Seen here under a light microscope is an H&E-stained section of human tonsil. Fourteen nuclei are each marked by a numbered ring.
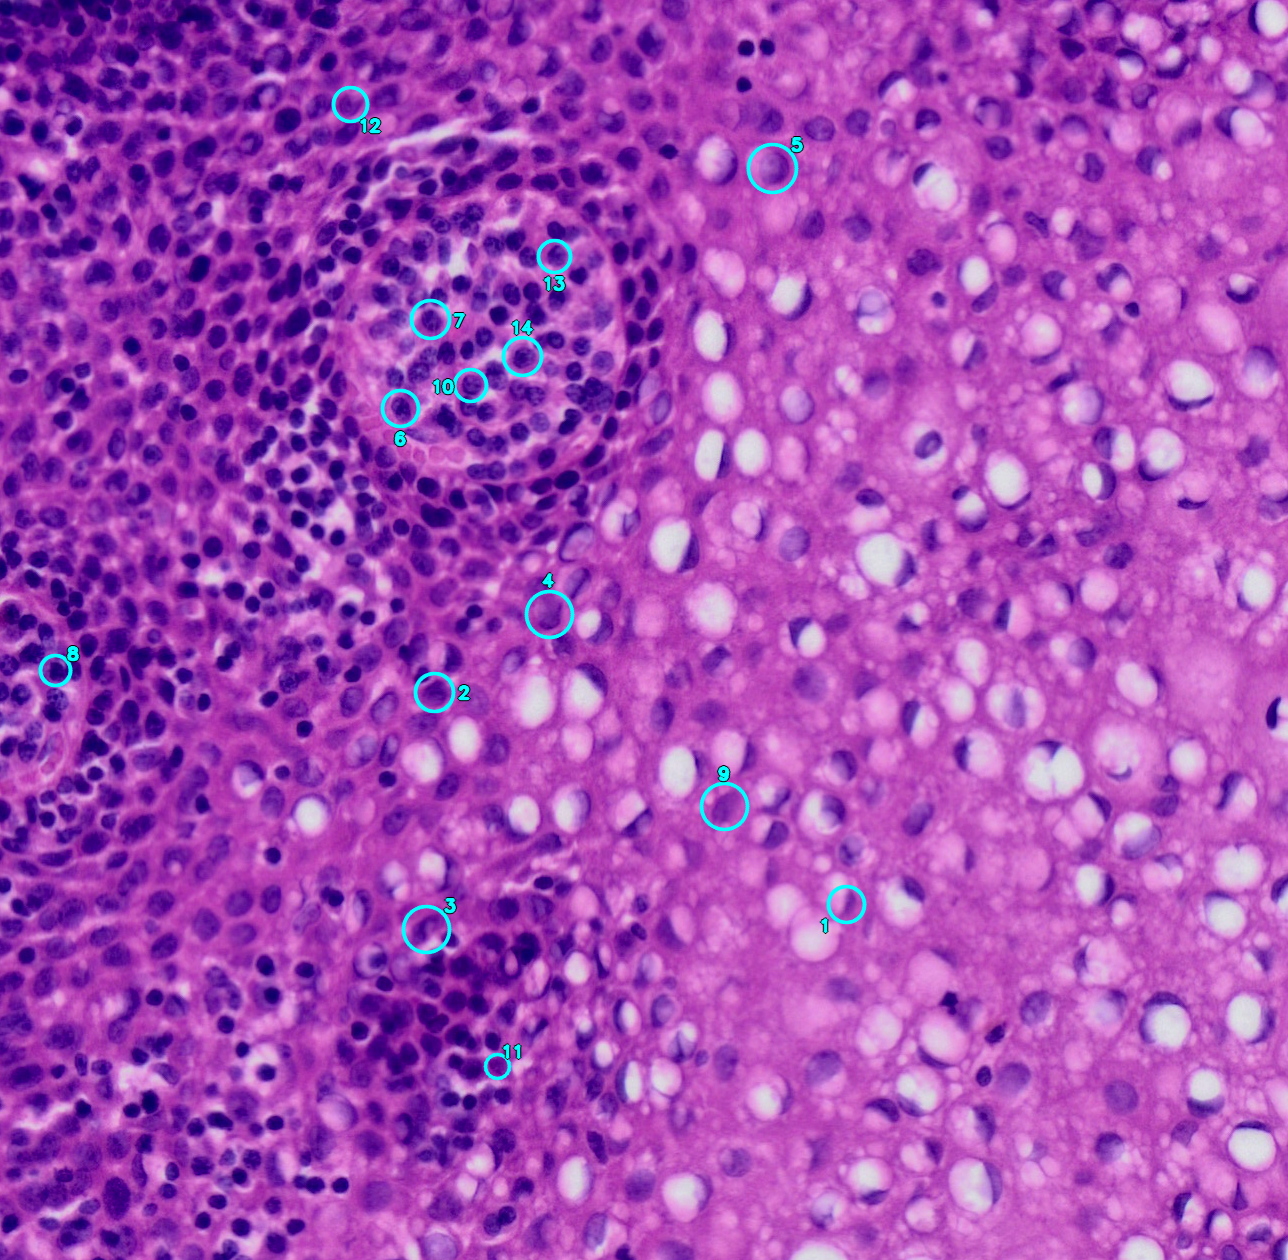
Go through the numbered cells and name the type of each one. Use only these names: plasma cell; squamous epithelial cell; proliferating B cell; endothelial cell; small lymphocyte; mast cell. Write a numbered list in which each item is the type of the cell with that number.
1. squamous epithelial cell
2. squamous epithelial cell
3. squamous epithelial cell
4. squamous epithelial cell
5. squamous epithelial cell
6. plasma cell
7. plasma cell
8. plasma cell
9. squamous epithelial cell
10. plasma cell
11. squamous epithelial cell
12. squamous epithelial cell
13. plasma cell
14. plasma cell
